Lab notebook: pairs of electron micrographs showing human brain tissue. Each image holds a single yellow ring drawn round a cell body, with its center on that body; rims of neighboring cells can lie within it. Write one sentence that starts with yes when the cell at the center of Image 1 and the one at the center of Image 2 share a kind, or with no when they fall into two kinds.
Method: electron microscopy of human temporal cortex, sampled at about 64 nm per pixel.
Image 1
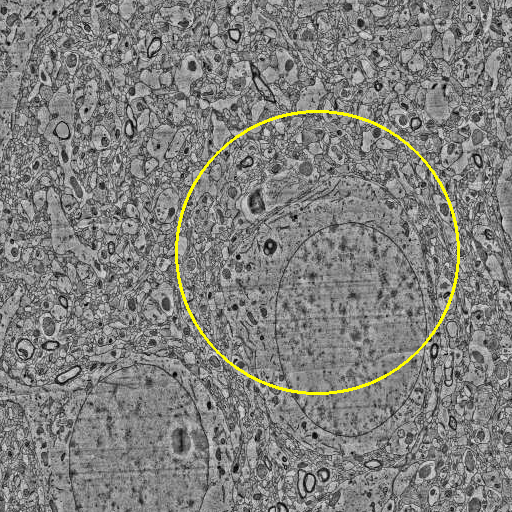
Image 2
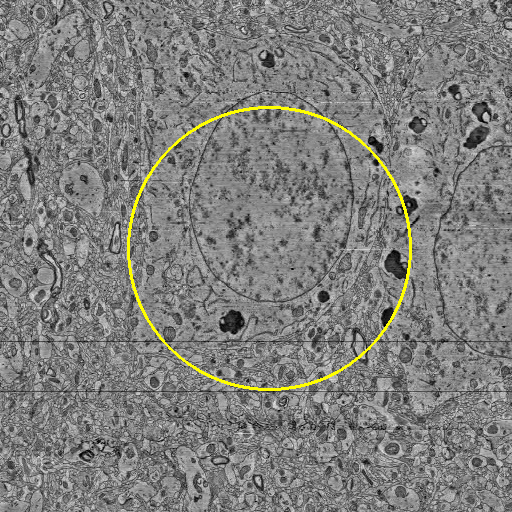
Yes, the centered cell in Image 1 and the centered cell in Image 2 are of one kind.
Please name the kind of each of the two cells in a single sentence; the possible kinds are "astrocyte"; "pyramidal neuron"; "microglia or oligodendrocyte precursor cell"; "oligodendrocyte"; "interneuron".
The first and the second cell are each a pyramidal neuron.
